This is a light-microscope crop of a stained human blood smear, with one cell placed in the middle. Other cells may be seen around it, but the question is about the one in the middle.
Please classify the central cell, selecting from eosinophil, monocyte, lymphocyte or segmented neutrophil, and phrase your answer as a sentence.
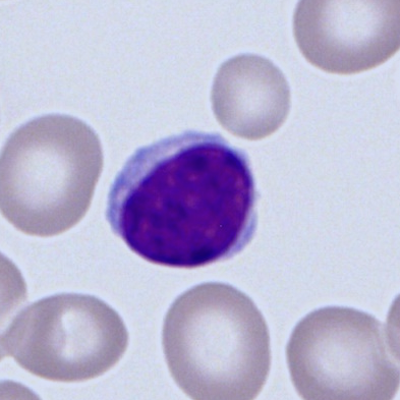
The middle of this crop is occupied by a lymphocyte.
